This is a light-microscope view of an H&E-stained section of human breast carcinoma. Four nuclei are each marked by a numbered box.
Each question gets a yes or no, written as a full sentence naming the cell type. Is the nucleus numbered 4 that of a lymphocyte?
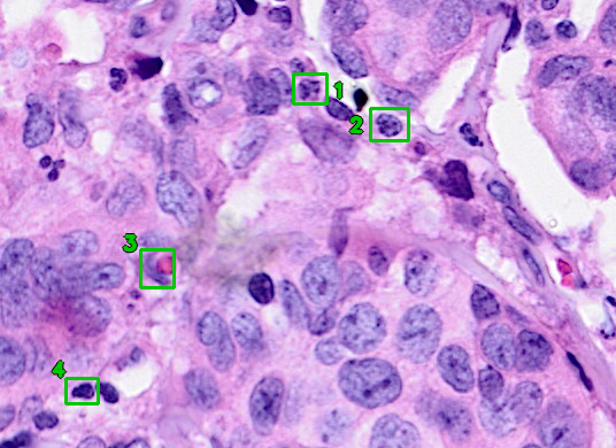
Yes, the cell corresponding to number 4 is a lymphocyte.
